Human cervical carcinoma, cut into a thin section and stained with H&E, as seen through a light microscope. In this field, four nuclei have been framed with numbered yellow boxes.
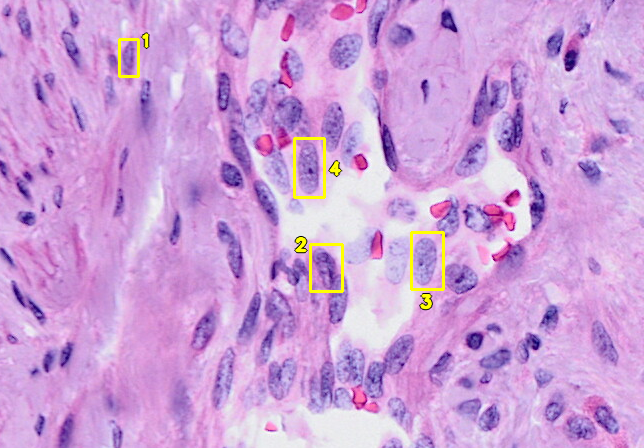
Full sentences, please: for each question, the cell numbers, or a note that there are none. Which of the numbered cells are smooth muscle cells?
Among the numbered cells, cell 1 alone is a smooth muscle cell.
